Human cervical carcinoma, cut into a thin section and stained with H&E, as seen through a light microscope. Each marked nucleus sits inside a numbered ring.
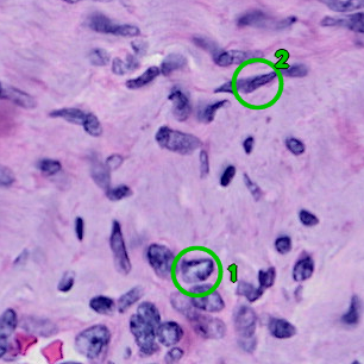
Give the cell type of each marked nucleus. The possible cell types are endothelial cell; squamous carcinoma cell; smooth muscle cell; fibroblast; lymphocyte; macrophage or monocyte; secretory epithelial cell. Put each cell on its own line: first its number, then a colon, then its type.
1: endothelial cell
2: fibroblast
